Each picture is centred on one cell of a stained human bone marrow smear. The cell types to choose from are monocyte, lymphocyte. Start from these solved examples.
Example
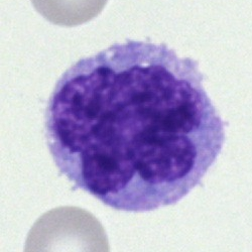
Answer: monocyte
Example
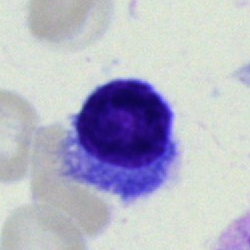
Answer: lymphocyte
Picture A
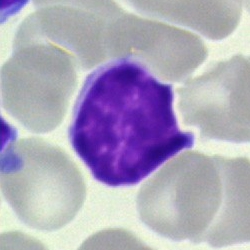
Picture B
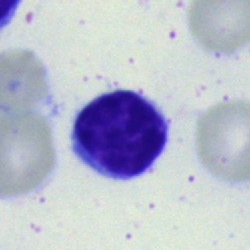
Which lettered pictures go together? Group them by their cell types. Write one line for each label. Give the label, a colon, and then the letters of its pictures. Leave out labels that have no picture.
lymphocyte: A, B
